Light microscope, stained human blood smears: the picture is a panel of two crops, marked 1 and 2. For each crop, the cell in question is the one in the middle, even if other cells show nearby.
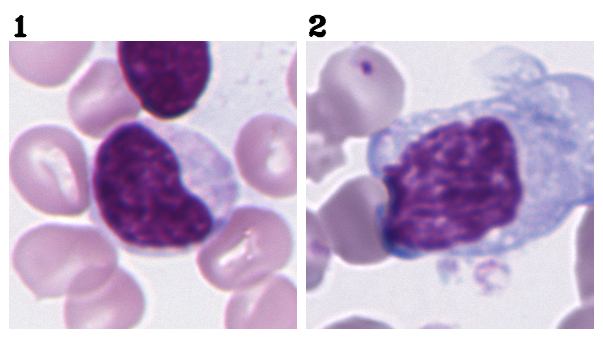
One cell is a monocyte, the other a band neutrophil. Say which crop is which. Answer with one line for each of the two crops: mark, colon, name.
1: band neutrophil
2: monocyte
